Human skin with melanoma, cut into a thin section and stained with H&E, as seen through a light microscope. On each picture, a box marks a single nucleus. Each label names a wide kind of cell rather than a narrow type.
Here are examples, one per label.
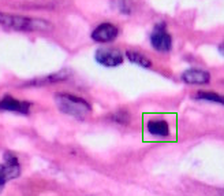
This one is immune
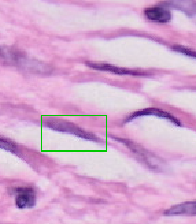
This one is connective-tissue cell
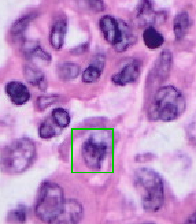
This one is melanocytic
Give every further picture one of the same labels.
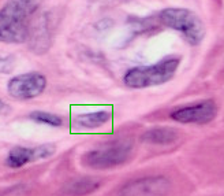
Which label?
connective-tissue cell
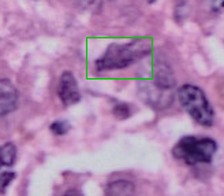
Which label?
melanocytic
